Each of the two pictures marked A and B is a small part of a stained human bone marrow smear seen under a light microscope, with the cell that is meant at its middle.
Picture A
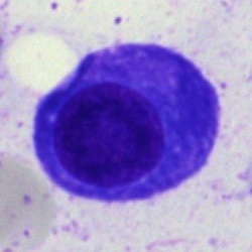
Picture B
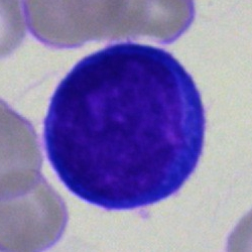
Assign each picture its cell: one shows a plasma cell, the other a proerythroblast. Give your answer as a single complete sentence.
Picture B shows a proerythroblast, while picture A shows a plasma cell.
